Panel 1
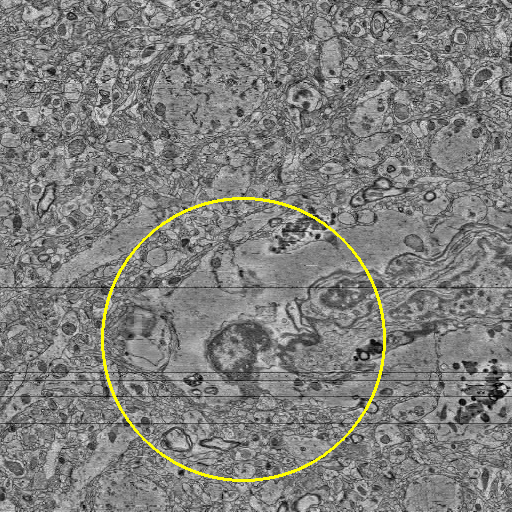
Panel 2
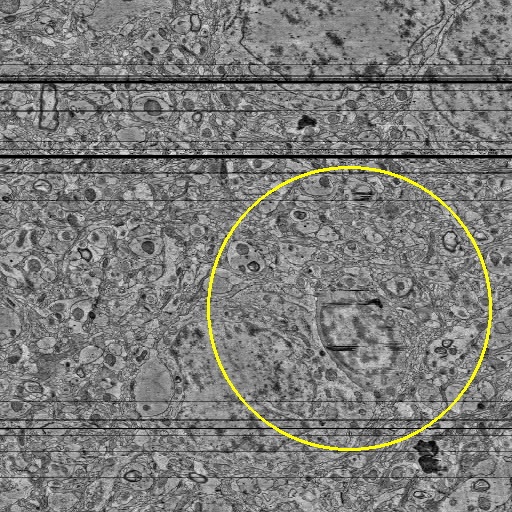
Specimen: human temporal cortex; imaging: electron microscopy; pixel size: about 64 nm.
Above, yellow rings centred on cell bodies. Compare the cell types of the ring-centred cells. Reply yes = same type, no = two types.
yes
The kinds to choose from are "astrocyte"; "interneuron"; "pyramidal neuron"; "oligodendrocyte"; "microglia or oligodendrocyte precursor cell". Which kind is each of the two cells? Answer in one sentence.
The first and the second cell are each an oligodendrocyte.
